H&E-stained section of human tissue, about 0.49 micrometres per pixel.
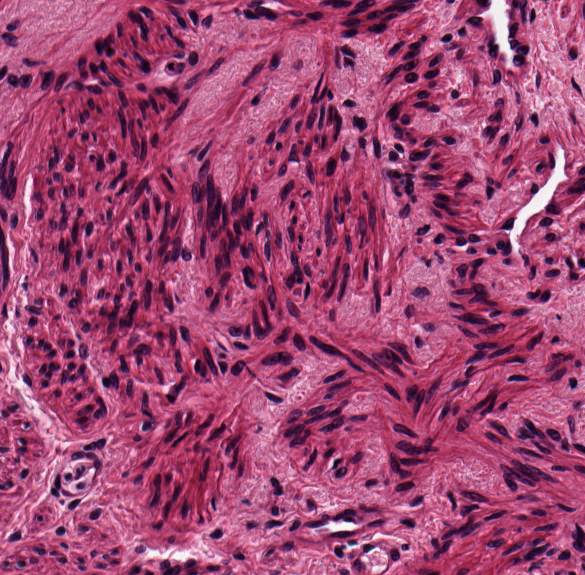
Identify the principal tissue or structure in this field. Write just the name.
smooth muscle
